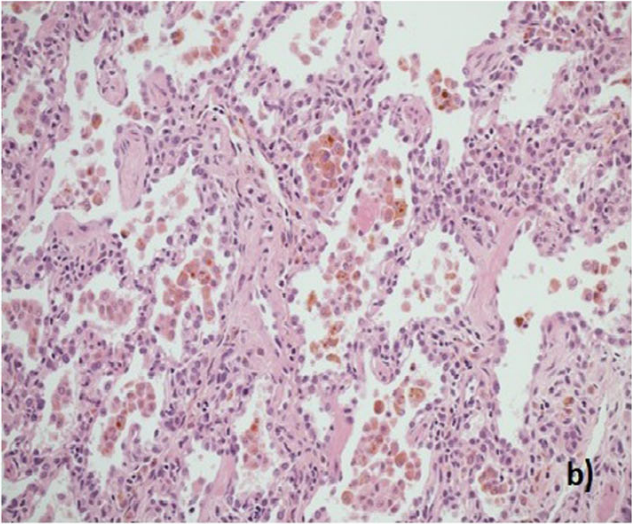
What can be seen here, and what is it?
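Lung tissue in which the alveolar spaces are filled with alveolar macrophages, rounded cells with abundant pink cytoplasm holding coarse golden-brown granules. The alveolar walls are mildly thickened by pink fibrous strands and are lined by plump, crowded cells with rounded nuclei, with scattered small lymphocytes among them.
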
